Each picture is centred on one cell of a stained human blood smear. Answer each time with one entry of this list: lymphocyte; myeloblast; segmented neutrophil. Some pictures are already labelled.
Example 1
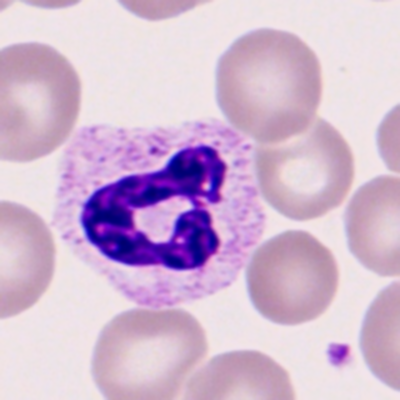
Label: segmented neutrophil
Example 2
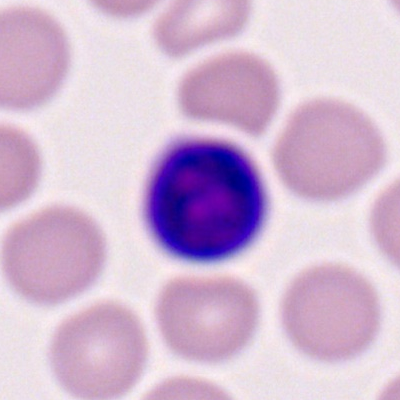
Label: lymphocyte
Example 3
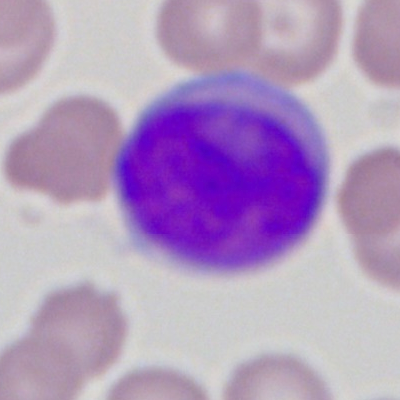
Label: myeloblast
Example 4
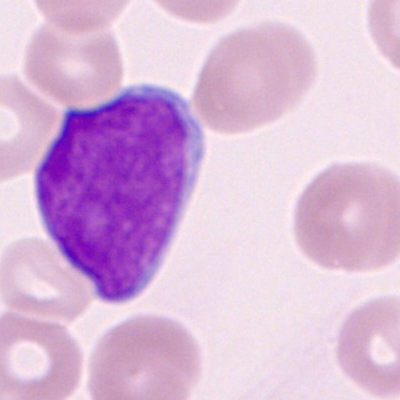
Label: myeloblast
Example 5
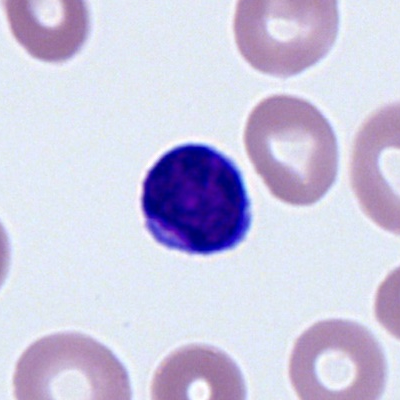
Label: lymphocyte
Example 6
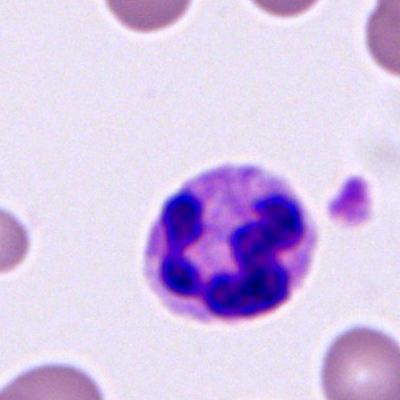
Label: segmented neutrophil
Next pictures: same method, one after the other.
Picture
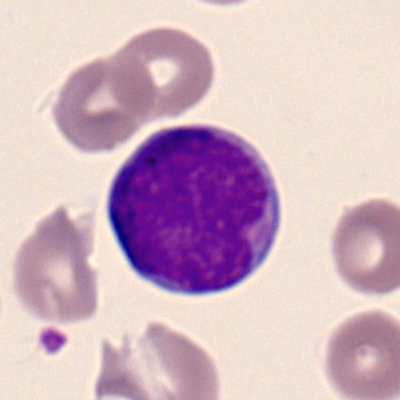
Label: myeloblast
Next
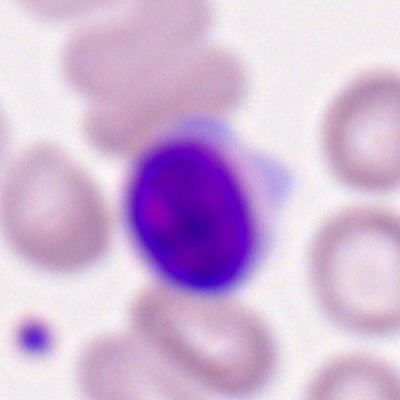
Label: lymphocyte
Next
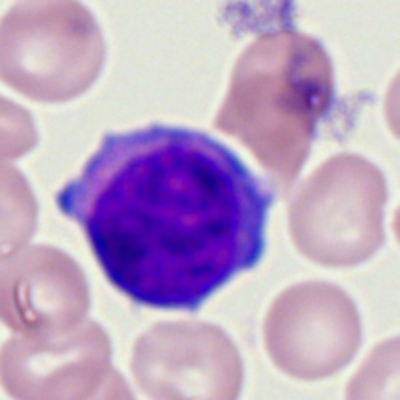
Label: myeloblast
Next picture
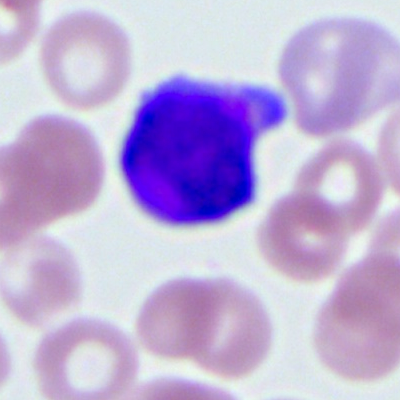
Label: myeloblast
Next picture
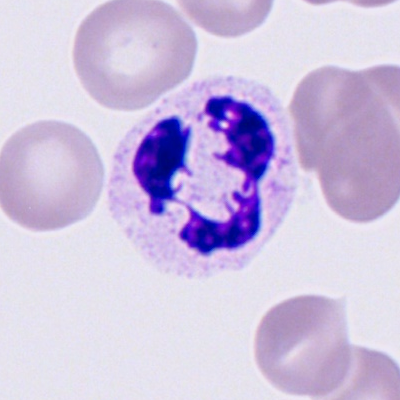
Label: segmented neutrophil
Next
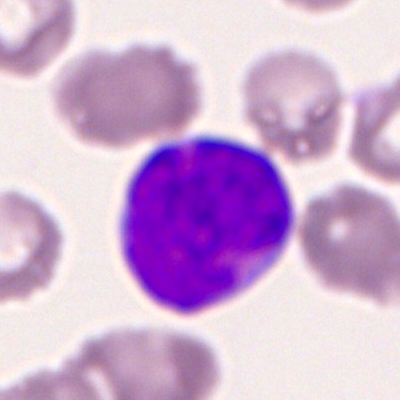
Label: myeloblast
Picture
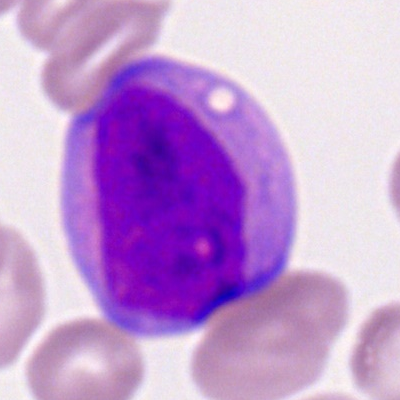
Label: myeloblast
